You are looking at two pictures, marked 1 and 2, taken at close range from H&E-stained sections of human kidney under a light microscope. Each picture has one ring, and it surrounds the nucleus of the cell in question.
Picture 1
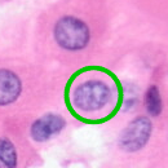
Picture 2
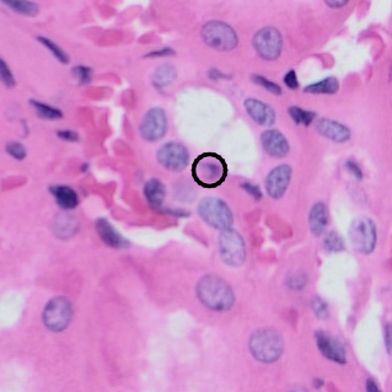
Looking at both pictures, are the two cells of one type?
yes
